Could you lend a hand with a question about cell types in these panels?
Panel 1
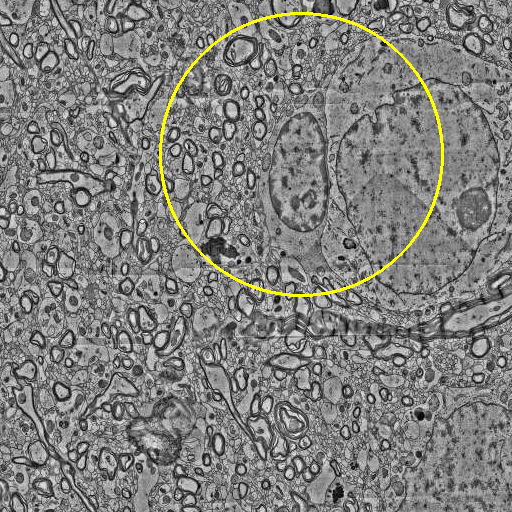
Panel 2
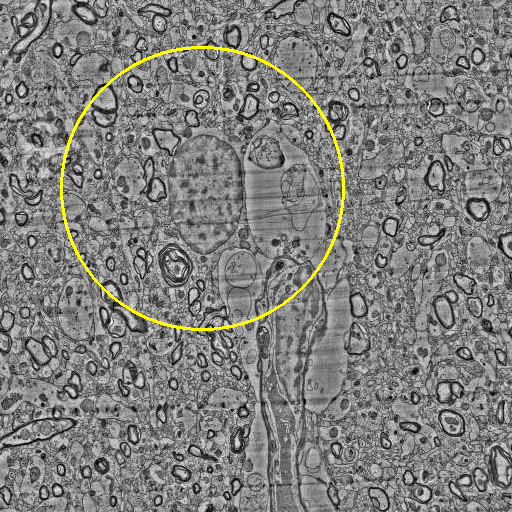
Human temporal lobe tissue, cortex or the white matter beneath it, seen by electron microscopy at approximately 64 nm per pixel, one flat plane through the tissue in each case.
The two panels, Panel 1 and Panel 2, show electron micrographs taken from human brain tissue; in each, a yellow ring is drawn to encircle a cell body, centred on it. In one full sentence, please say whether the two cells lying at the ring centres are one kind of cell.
Yes, the cells at the ring centres in the two panels are one kind of cell.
